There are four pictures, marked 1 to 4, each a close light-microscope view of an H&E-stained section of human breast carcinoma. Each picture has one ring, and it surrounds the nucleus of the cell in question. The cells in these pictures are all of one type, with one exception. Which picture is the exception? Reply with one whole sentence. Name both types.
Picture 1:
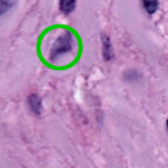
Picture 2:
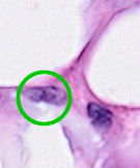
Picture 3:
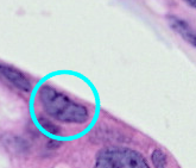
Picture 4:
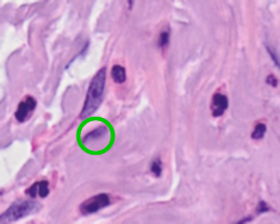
The different one is picture 3; it shows a carcinoma cell, whereas all the others show fibroblasts.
